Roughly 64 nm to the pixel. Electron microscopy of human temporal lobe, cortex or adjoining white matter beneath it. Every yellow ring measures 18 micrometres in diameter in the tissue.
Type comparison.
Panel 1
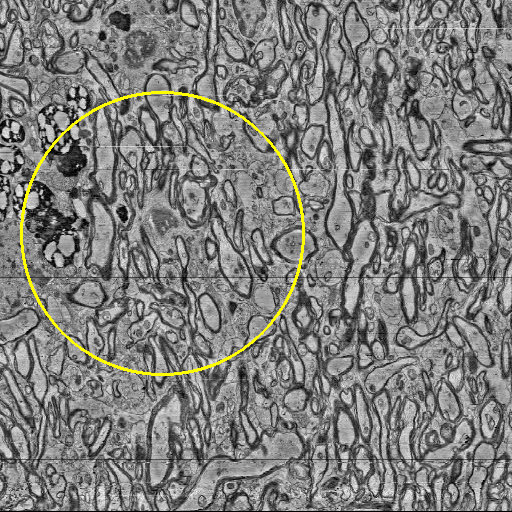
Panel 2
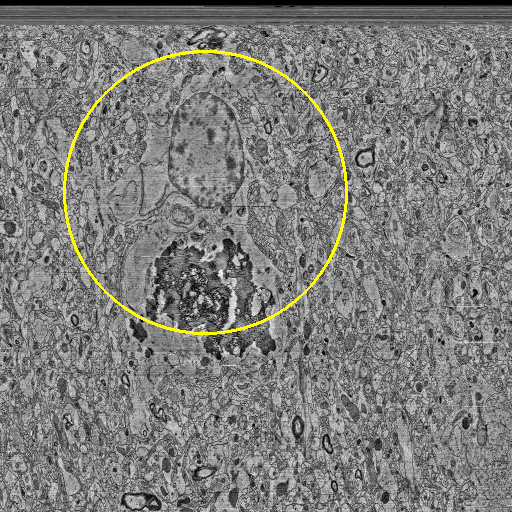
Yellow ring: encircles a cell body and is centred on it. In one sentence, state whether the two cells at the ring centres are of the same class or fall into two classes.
In these panels, the two cells at the ring centres fall into two classes.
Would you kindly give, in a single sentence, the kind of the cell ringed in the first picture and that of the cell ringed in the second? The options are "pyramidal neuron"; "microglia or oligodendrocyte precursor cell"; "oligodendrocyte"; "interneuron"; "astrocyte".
The second cell is an astrocyte, and the first cell is an oligodendrocyte.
